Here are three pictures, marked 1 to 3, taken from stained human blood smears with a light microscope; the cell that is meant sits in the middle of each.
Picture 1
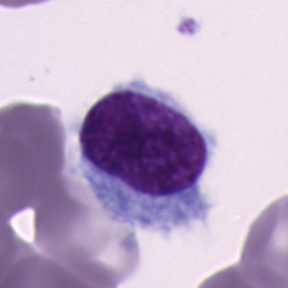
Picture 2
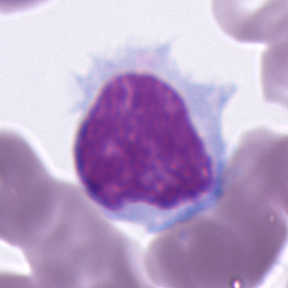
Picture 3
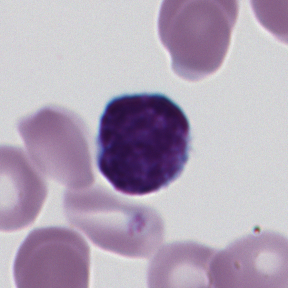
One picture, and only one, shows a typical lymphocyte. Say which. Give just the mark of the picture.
3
